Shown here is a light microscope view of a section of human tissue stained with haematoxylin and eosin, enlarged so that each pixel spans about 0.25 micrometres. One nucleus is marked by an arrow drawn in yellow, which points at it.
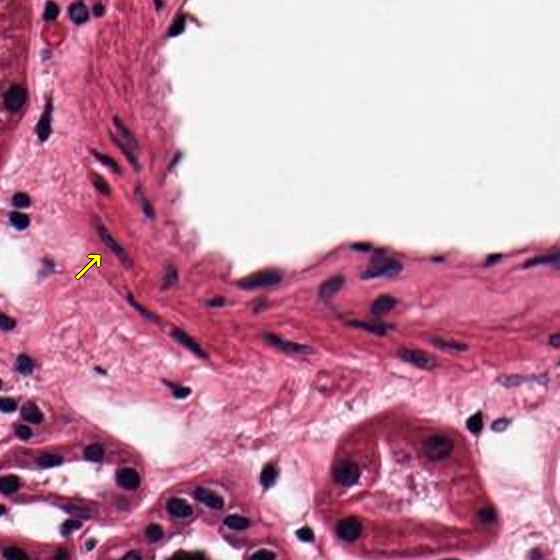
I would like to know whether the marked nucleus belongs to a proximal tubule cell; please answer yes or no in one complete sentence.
No, the marked nucleus is not the nucleus belonging to a proximal tubule cell.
